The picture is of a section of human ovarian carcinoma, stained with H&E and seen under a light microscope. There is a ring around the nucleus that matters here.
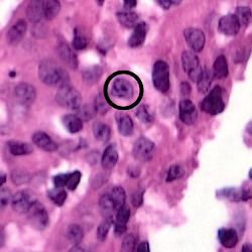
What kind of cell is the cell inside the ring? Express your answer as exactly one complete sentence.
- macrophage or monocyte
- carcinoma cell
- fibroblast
It is as a macrophage or monocyte that the cell inside the ring is recorded.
